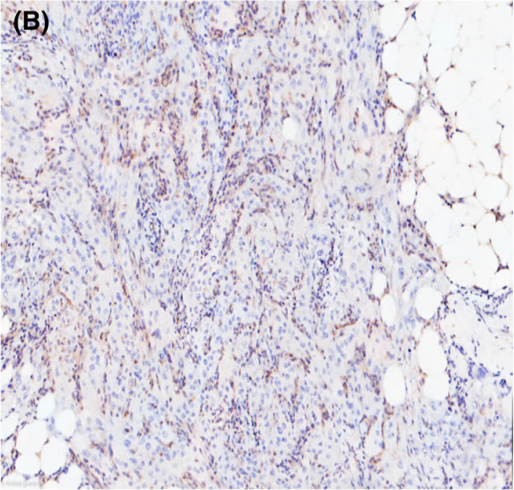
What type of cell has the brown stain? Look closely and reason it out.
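Brown stain lies in thin spindle cells and small round cells in the strands between tumour nests. The large tumour cells are only blue-counterstained.
Answer: fibroblastic and inflammatory component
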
